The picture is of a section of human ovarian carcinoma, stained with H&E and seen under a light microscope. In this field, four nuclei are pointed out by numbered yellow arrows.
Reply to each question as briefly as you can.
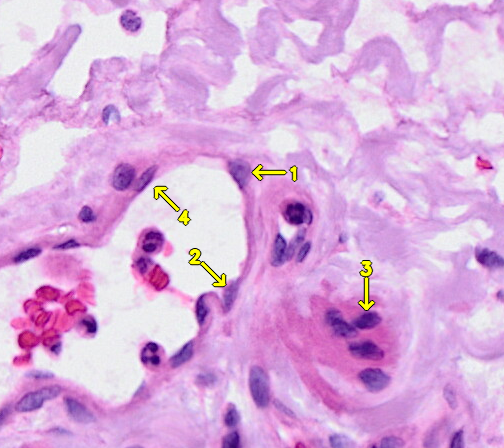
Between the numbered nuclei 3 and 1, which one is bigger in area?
1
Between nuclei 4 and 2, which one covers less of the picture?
4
